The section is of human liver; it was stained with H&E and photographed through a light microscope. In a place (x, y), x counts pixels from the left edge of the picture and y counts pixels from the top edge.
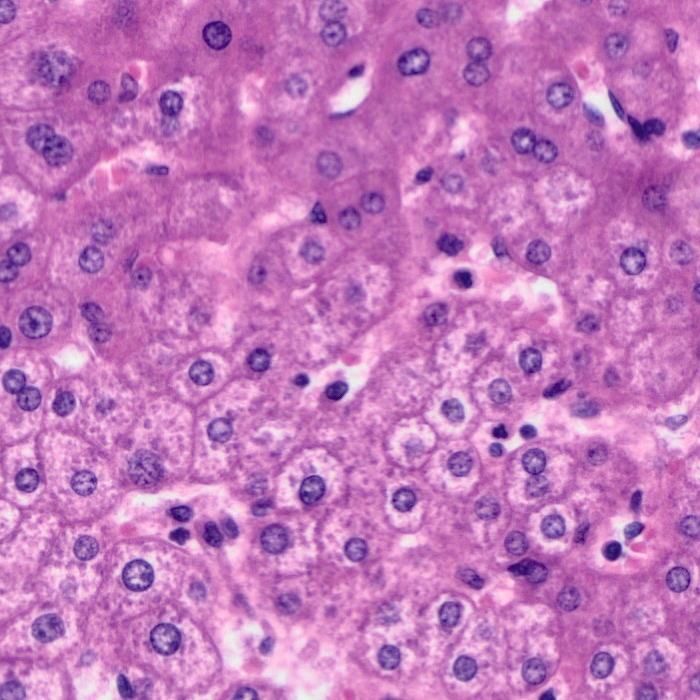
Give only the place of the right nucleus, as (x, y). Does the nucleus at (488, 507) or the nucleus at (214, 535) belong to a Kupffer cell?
(214, 535)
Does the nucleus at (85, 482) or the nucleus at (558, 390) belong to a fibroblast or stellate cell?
(558, 390)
